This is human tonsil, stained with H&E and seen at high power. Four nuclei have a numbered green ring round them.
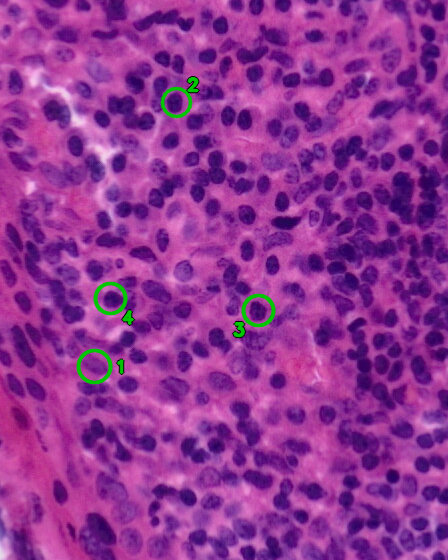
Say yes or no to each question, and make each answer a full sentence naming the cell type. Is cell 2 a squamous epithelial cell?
No, the cell that carries number 2 is a plasma cell, not a squamous epithelial cell.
